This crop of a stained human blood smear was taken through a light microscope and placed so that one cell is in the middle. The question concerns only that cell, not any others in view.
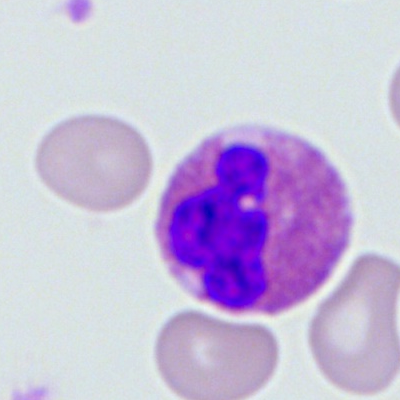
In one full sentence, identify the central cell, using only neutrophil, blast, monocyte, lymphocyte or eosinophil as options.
The cell occupying the middle of the crop is an eosinophil.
